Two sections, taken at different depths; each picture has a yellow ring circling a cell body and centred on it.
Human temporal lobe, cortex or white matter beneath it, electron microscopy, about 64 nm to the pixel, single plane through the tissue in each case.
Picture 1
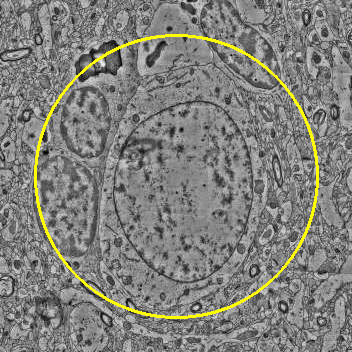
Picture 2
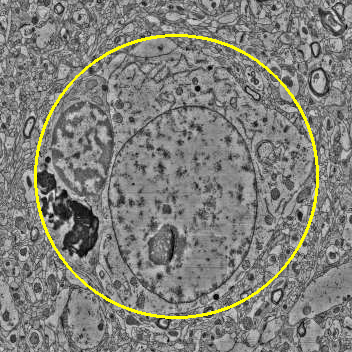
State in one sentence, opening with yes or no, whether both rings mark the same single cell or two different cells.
Yes, one cell accounts for both of the yellow rings.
